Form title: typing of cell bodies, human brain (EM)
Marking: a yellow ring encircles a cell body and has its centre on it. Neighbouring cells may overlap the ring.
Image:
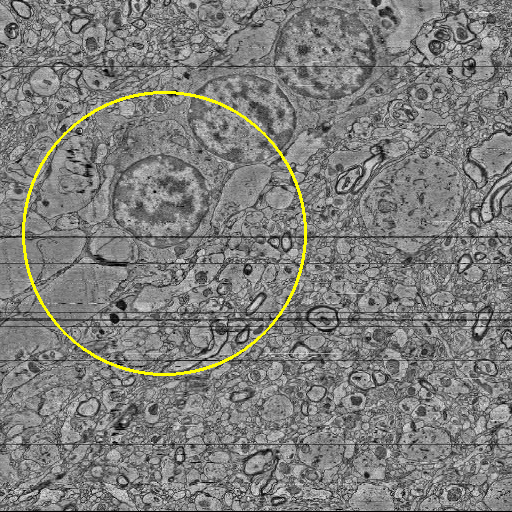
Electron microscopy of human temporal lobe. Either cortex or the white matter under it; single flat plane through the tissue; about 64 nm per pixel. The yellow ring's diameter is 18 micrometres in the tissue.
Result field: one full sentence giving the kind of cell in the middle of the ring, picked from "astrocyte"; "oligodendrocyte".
In the picture, the ring is centred on an oligodendrocyte, whose cell body it encircles.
